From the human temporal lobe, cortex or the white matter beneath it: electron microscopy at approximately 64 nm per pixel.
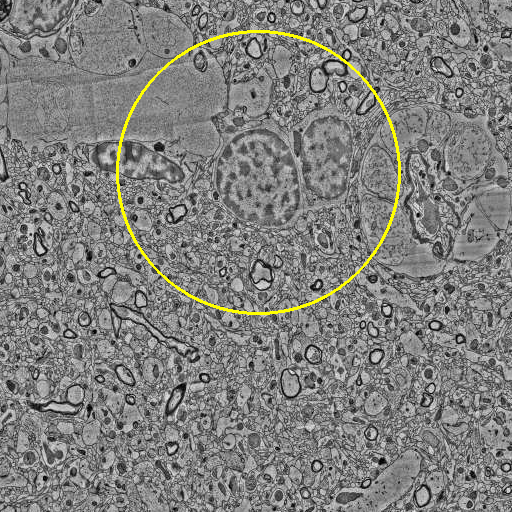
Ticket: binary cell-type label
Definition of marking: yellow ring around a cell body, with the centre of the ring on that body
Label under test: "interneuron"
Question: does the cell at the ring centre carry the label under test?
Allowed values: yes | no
no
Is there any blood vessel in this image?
Yes, one appears.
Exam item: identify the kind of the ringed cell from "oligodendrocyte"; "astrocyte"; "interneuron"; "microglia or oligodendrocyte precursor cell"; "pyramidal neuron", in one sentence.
Here, the ring is centred on an oligodendrocyte instead.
